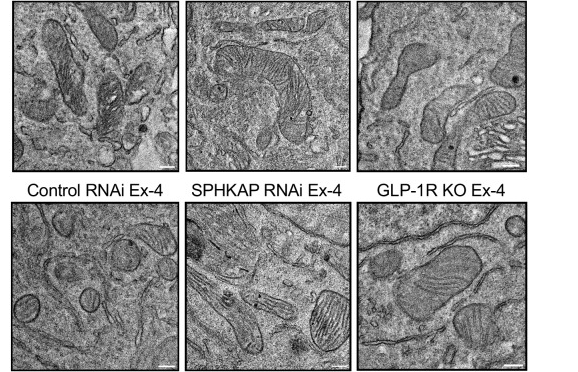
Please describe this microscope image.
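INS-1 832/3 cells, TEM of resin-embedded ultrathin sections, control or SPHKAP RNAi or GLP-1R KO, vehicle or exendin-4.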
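The mitochondria are oval to elongated, bounded by a double membrane, and many contain thin parallel cristae running across their width, while others look paler with few or no cristae. Long thin membrane profiles of endoplasmic reticulum run beside and close against several of the mitochondria. Small vesicles and other membrane profiles are scattered between them.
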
